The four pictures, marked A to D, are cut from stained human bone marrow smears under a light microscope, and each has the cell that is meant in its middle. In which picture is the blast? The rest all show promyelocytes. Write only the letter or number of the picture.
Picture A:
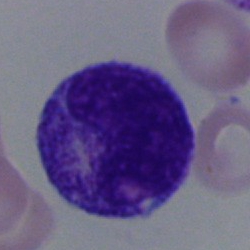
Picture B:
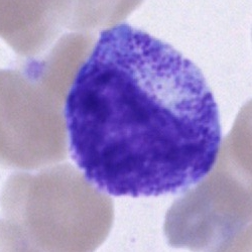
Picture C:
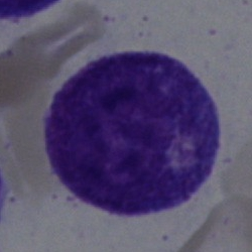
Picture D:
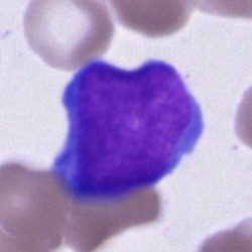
D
